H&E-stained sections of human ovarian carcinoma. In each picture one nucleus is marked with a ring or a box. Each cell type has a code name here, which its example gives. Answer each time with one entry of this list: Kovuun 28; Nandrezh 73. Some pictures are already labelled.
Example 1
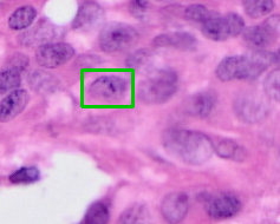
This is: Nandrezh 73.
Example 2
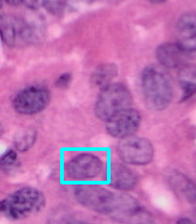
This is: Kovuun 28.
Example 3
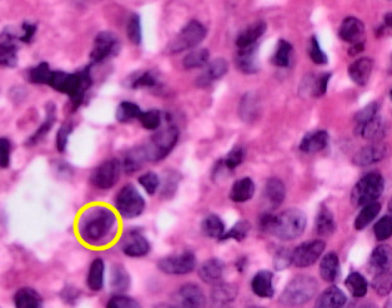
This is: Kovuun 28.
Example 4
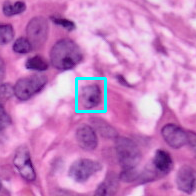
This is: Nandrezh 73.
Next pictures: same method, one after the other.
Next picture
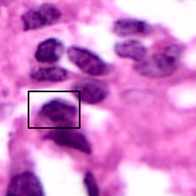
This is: Kovuun 28.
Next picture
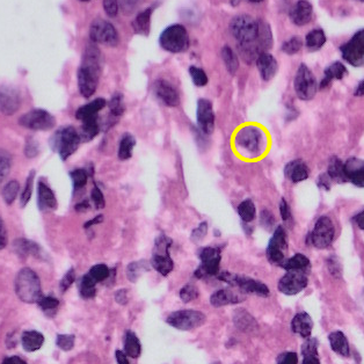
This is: Nandrezh 73.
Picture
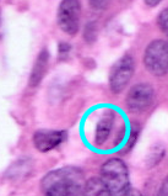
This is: Kovuun 28.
